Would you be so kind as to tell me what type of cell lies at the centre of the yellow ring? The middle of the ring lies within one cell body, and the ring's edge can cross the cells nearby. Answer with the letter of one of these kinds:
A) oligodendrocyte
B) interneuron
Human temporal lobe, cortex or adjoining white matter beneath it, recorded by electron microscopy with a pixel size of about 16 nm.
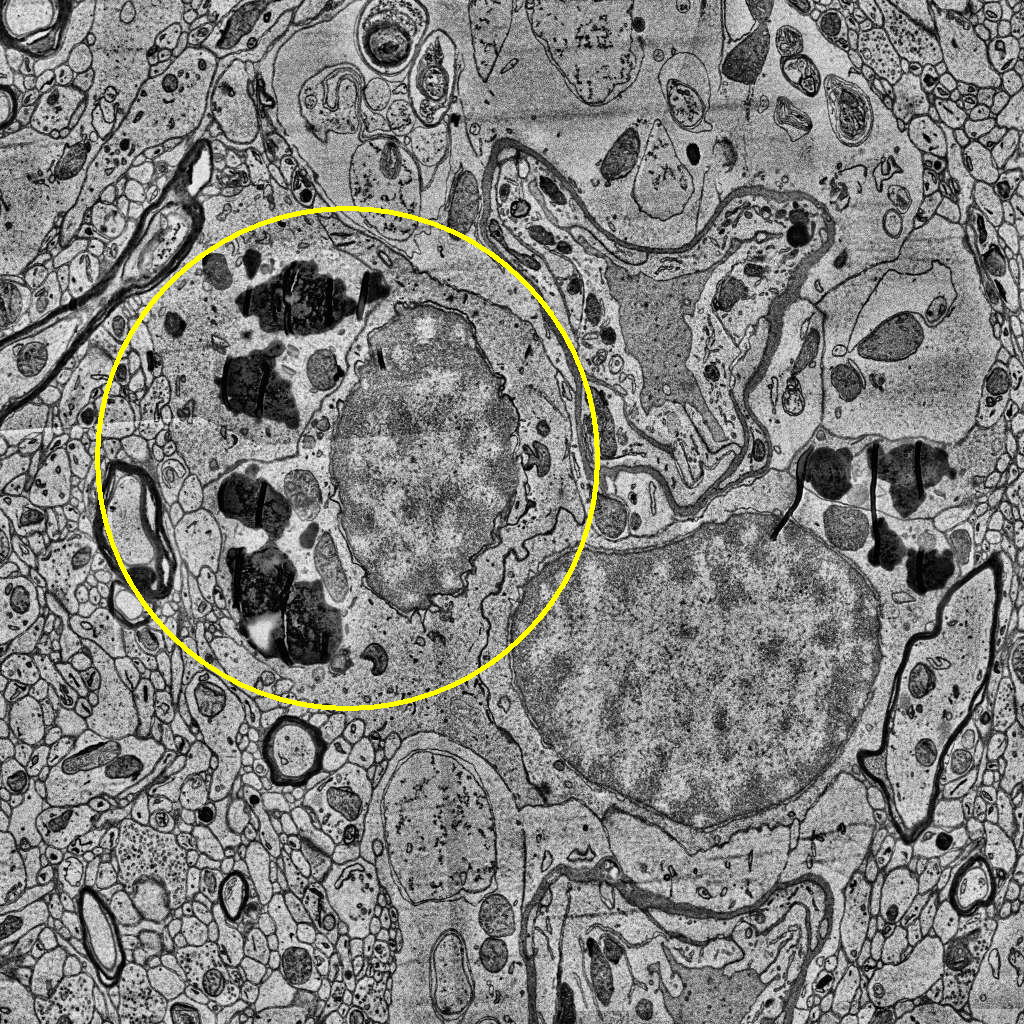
A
